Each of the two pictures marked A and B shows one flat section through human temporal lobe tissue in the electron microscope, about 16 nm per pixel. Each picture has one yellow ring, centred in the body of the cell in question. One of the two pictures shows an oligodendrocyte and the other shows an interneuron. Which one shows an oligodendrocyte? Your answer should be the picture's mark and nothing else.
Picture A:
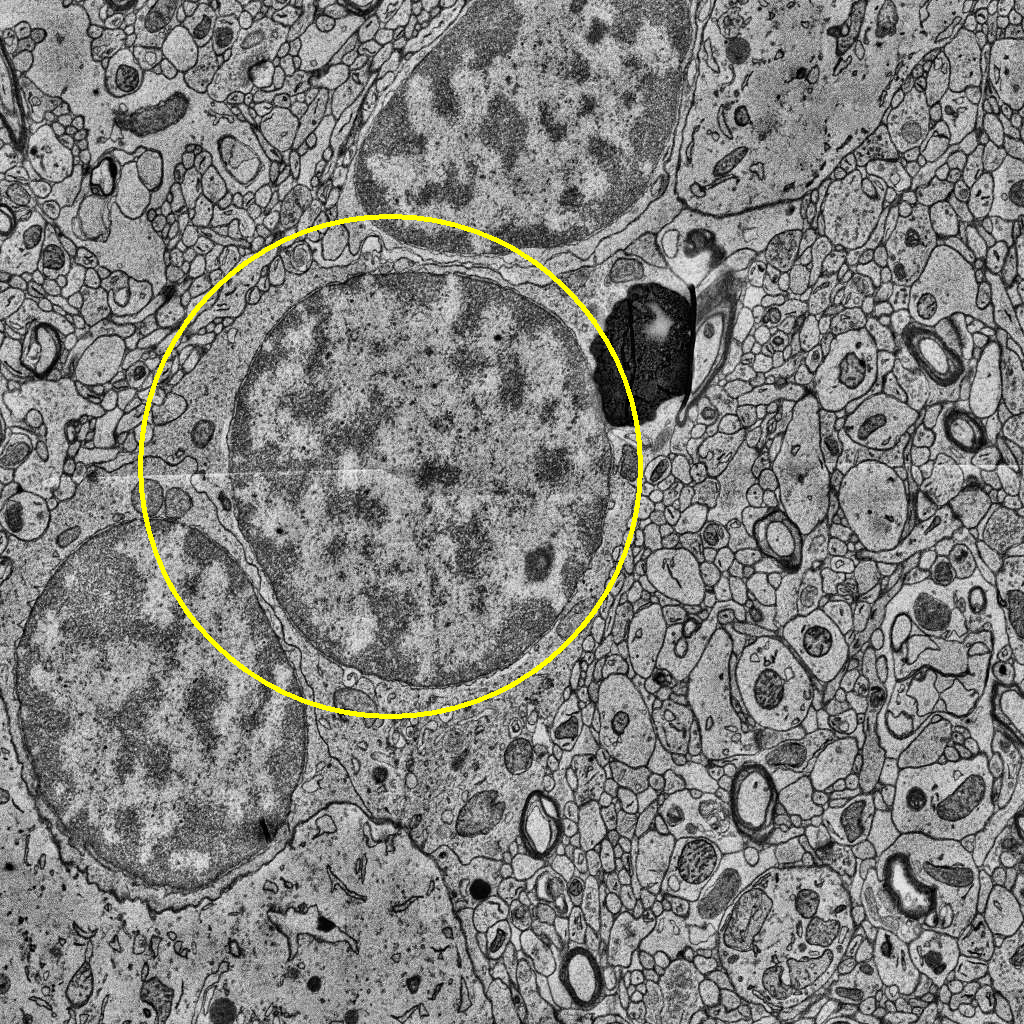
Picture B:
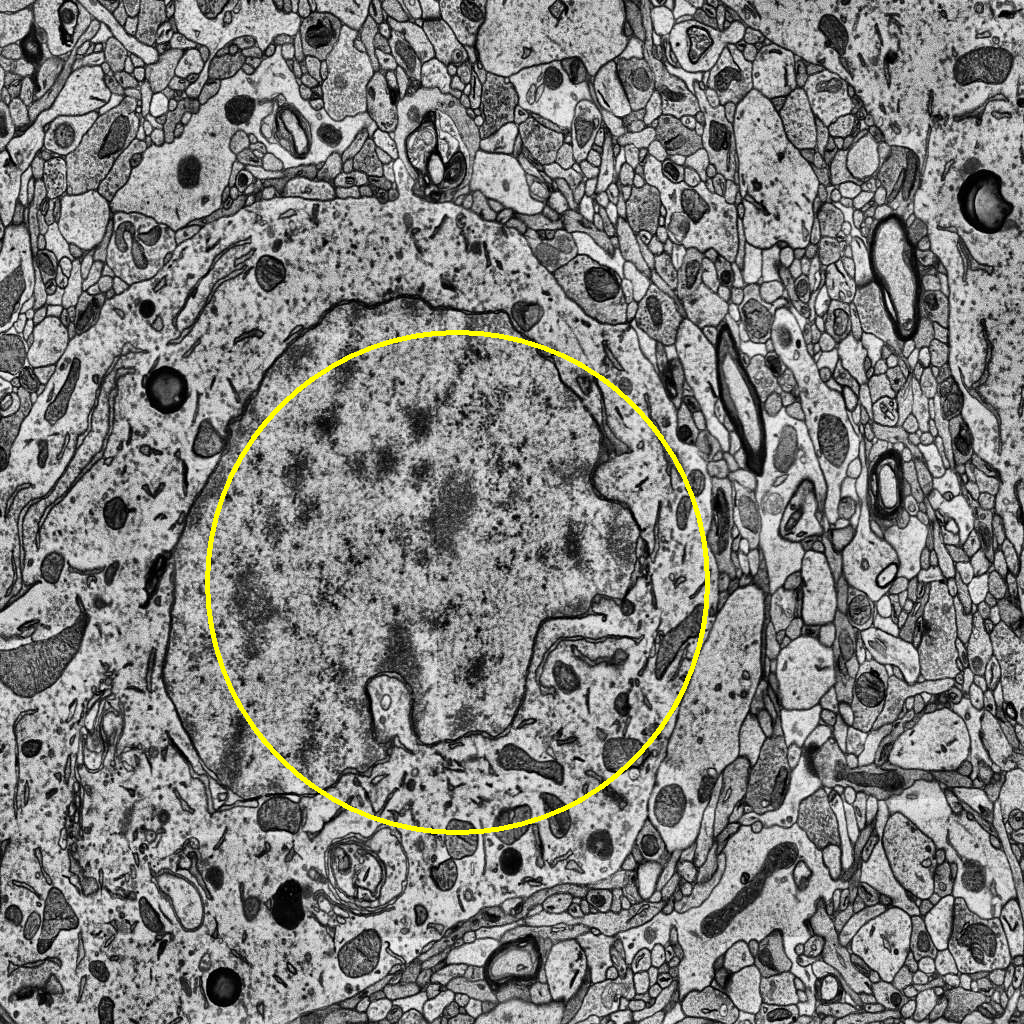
A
